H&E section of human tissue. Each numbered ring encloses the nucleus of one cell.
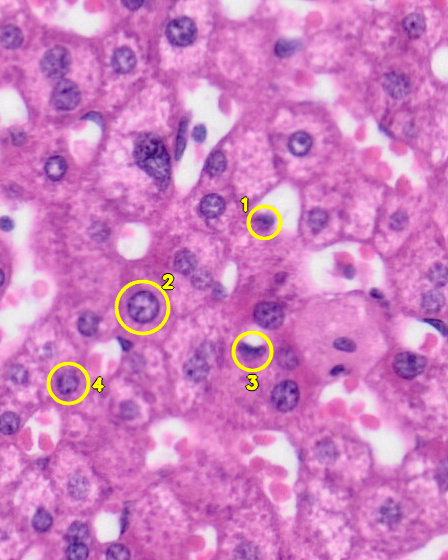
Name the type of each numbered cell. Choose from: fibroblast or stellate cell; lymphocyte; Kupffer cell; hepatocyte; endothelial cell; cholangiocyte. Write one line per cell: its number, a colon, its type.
1: Kupffer cell
2: hepatocyte
3: endothelial cell
4: hepatocyte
